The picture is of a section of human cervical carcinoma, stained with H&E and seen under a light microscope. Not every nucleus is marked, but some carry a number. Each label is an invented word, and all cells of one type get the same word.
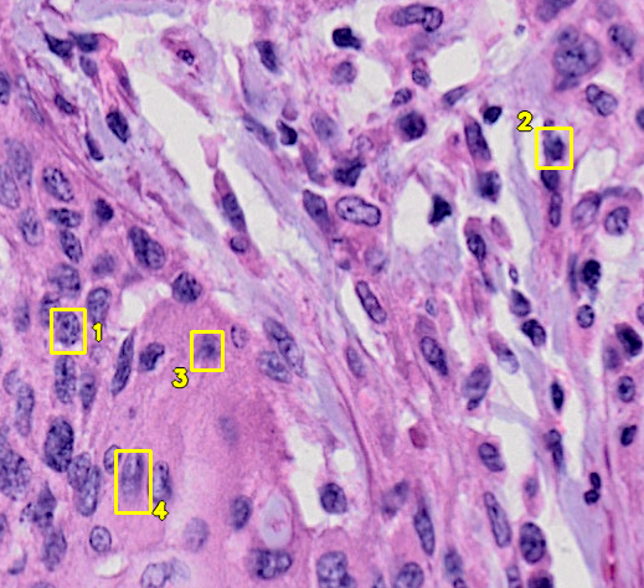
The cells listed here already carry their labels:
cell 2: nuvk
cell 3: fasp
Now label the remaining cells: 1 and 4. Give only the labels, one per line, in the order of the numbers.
fasp
fasp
